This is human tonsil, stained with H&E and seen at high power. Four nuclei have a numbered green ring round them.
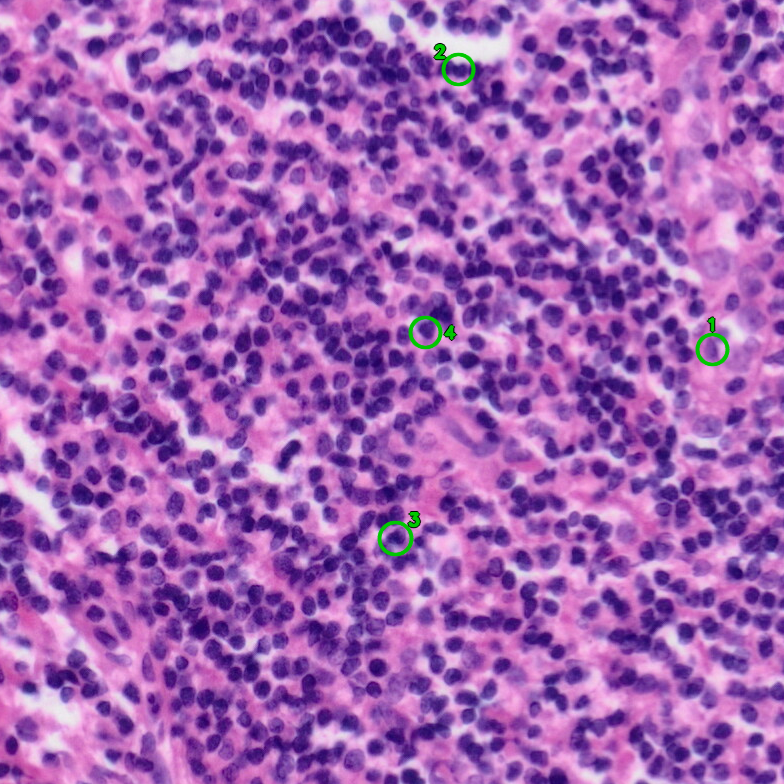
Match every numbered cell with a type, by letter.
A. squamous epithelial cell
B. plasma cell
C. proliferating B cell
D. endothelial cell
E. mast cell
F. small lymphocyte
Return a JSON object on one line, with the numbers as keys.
{"1": "D", "2": "F", "3": "F", "4": "F"}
